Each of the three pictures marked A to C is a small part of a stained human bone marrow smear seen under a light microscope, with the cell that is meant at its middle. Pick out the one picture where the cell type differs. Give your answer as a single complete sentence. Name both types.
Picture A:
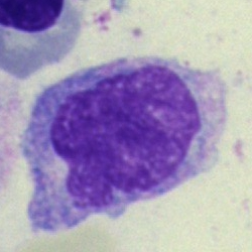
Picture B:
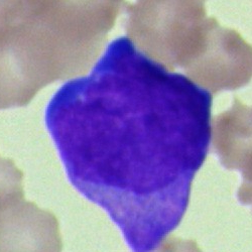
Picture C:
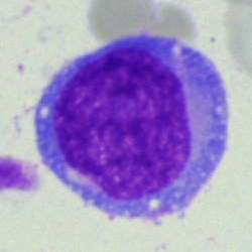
The others show blasts, but picture A shows a monocyte.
